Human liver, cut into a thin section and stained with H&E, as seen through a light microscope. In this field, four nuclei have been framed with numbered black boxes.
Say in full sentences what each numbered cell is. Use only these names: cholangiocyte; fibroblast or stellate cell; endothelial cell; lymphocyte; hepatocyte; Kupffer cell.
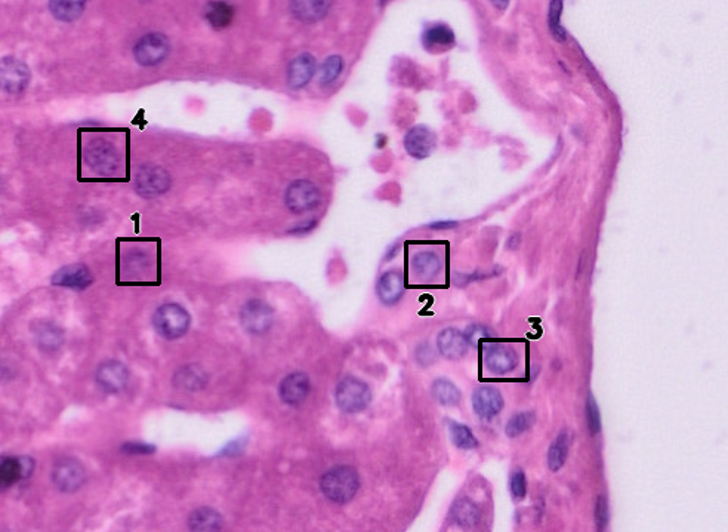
Cell 1 is a hepatocyte, cell 2 is a cholangiocyte, cell 3 is a cholangiocyte and cell 4 is a hepatocyte.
